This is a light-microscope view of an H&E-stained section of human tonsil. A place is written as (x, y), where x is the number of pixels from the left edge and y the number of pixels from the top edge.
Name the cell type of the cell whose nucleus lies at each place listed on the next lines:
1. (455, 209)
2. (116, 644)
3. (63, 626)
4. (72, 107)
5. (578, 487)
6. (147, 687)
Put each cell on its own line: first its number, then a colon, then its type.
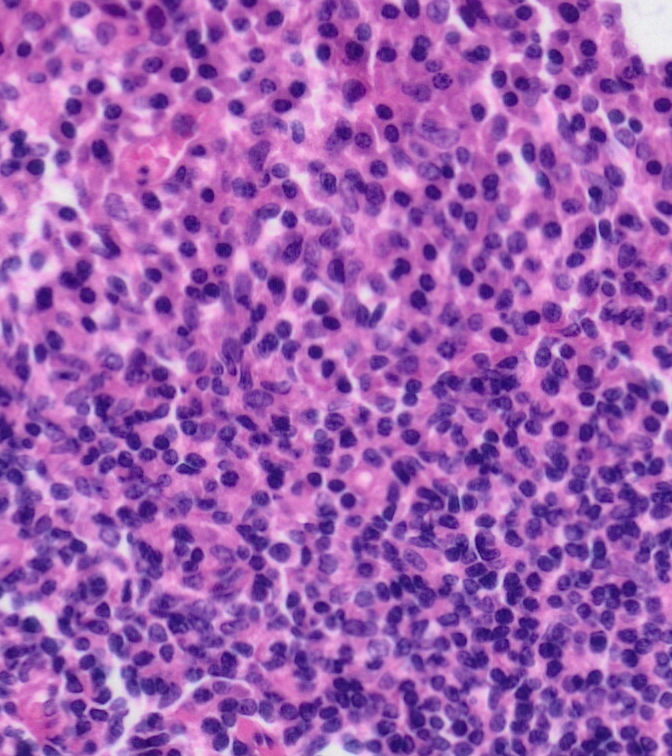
1: plasma cell
2: small lymphocyte
3: small lymphocyte
4: plasma cell
5: small lymphocyte
6: small lymphocyte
